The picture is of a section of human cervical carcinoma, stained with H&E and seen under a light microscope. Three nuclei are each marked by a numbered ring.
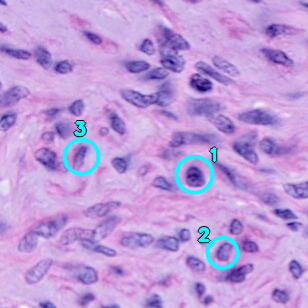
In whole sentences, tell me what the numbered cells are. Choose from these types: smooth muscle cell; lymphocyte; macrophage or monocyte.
Cell 1 is a lymphocyte. Cells 2 and 3 are smooth muscle cells.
